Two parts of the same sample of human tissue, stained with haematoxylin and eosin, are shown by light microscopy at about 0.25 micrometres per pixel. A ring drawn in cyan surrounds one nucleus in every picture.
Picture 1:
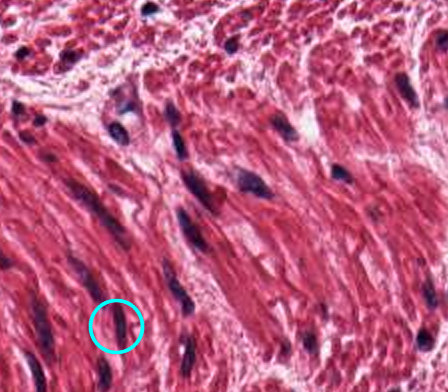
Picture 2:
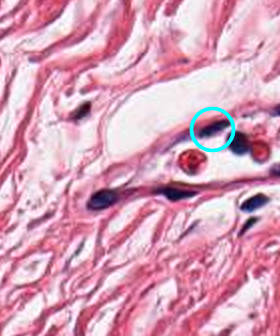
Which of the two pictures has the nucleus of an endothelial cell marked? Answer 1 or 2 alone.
2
